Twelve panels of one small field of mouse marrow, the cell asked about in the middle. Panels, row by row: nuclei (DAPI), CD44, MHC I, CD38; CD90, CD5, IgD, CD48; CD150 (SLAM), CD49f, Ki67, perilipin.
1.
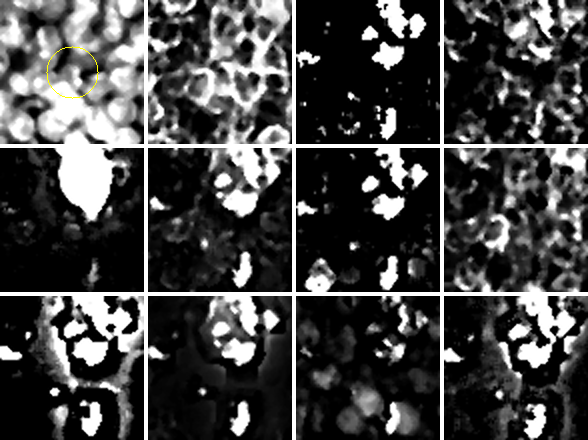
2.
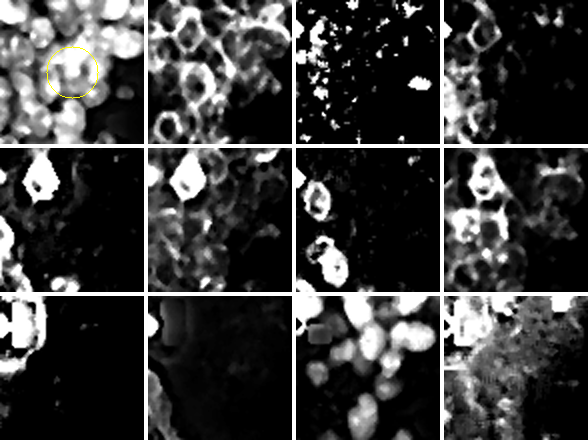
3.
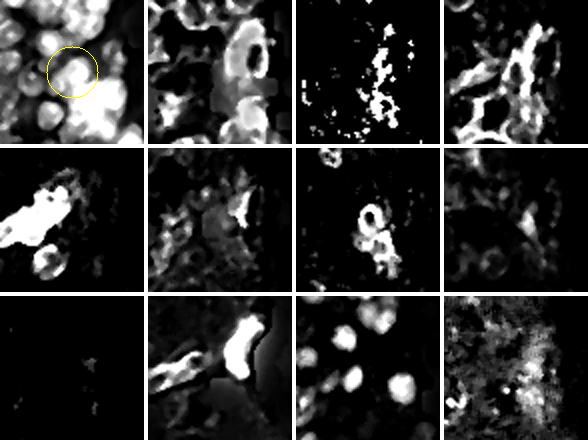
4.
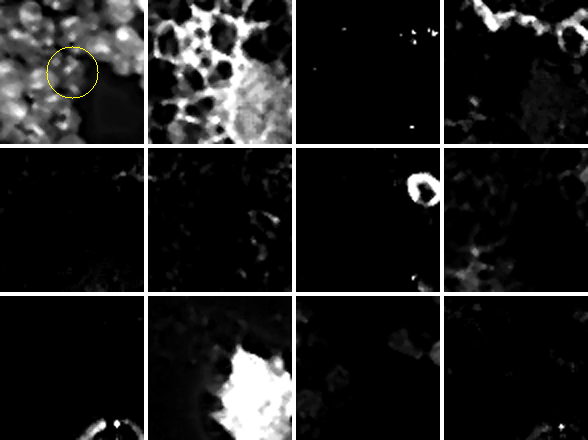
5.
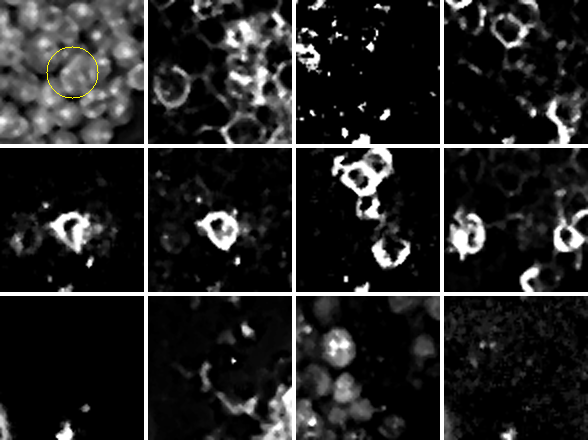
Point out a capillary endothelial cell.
That is picture 3.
